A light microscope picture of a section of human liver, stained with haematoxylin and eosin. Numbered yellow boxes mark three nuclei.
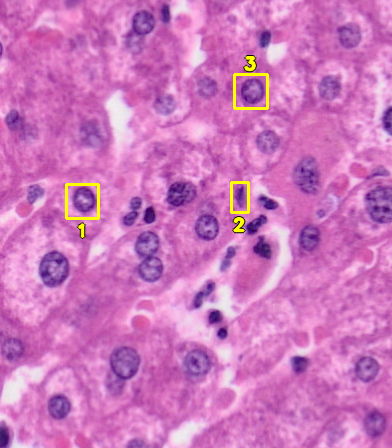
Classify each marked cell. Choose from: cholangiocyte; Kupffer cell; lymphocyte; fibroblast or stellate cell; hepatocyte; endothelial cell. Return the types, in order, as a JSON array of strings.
["hepatocyte", "fibroblast or stellate cell", "hepatocyte"]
